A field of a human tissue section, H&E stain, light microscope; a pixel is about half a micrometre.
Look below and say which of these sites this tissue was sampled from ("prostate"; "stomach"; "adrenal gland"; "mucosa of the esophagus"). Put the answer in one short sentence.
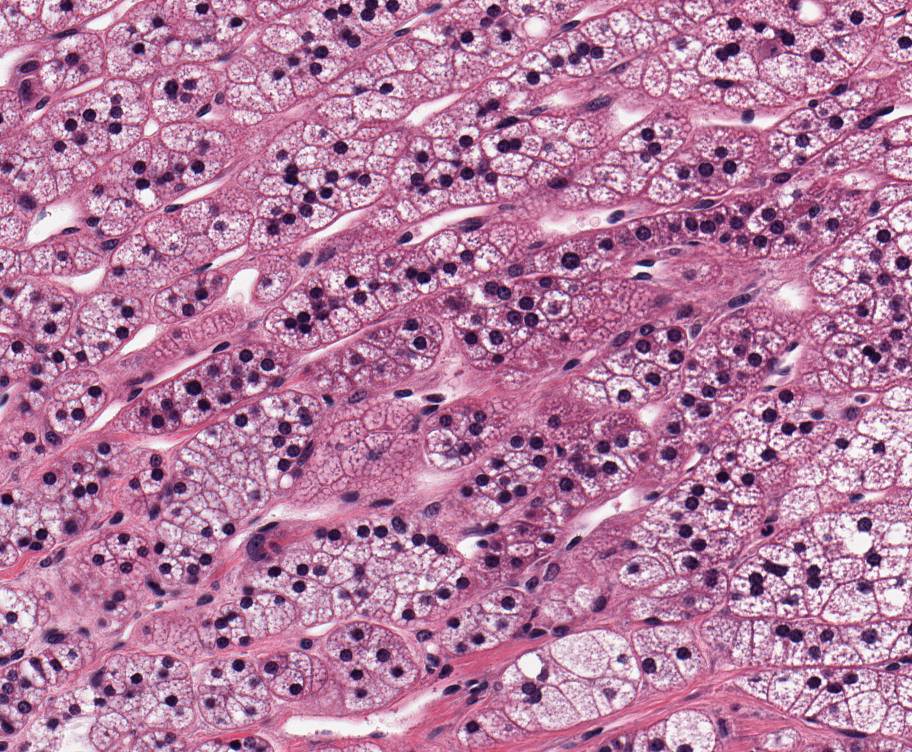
The site this tissue was sampled from is the adrenal gland.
